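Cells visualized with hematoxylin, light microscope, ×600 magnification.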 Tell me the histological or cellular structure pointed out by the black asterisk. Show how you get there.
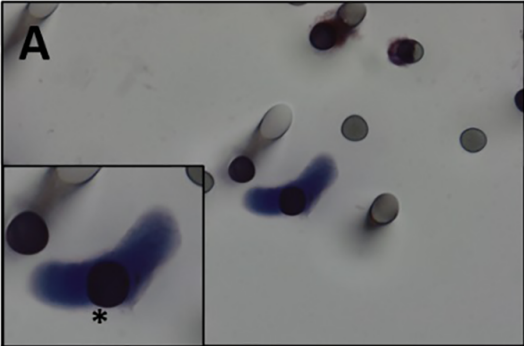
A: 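The marked object is a sharply outlined round dark disc. Many round discs of the same size lie scattered over the background, unrelated to cells. The marked disc overlies the blue cell. So: membrane spots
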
